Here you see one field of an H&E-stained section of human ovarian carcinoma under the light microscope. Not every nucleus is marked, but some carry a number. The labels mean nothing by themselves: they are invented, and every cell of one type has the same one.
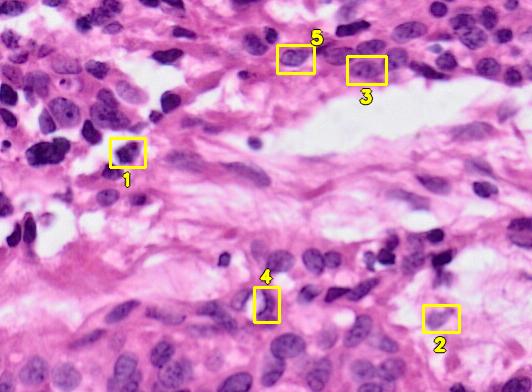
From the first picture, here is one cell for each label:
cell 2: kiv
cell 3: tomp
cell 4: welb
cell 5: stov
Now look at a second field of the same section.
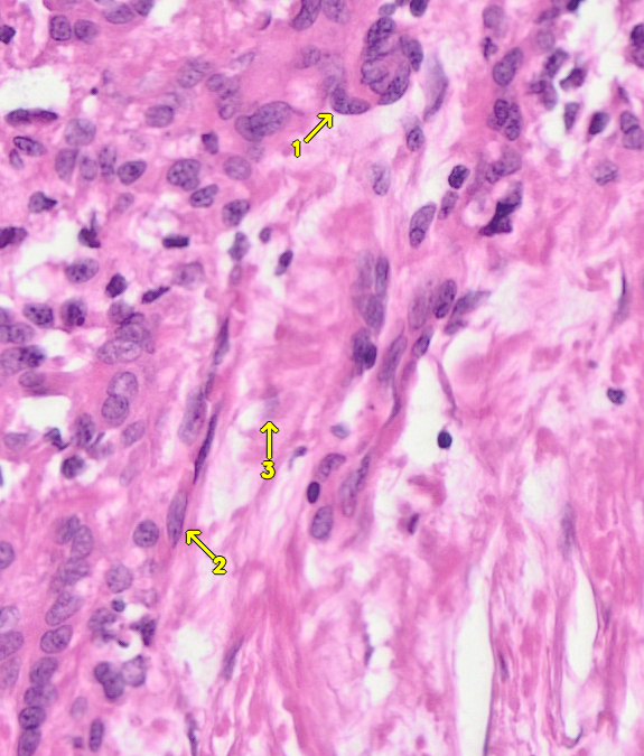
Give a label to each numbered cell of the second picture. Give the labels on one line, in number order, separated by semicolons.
welb; welb; kiv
